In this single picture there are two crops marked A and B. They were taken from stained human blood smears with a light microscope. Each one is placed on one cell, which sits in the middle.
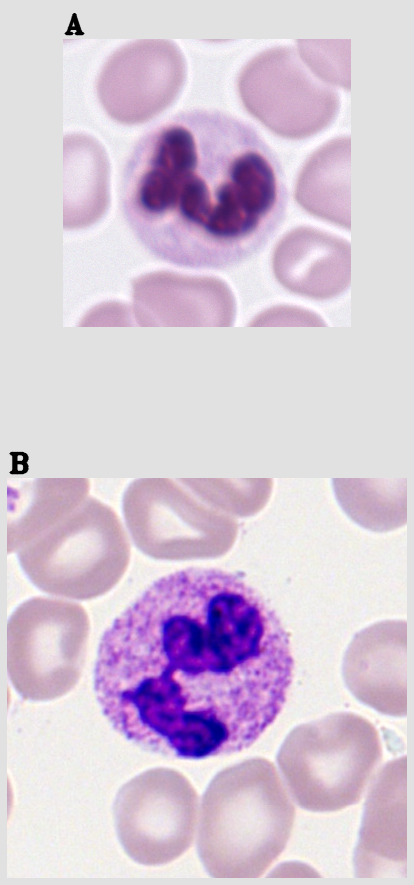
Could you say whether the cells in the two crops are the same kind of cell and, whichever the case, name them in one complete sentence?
Yes, the crops both have segmented neutrophils in the middle.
